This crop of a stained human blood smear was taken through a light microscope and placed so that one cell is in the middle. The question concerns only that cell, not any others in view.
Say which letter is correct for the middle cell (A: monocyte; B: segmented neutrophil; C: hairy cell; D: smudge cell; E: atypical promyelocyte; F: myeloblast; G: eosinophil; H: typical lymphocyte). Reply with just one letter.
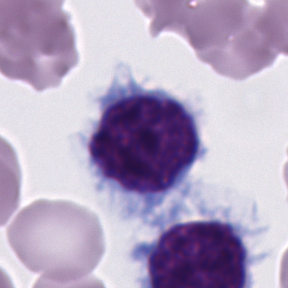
C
